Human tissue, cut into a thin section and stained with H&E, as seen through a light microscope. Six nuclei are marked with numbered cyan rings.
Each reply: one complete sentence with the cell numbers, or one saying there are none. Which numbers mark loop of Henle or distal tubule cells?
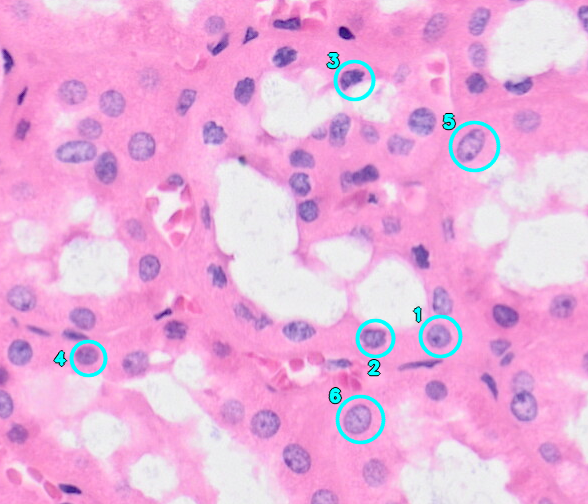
The identity of cells 1, 2 and 3: they are loop of Henle or distal tubule cells.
